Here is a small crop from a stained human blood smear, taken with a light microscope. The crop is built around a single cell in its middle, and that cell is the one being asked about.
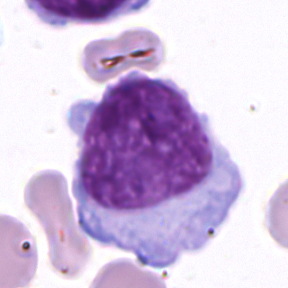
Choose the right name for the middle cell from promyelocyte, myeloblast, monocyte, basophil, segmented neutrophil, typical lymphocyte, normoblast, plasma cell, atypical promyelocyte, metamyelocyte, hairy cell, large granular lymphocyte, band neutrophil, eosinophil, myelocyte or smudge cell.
plasma cell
